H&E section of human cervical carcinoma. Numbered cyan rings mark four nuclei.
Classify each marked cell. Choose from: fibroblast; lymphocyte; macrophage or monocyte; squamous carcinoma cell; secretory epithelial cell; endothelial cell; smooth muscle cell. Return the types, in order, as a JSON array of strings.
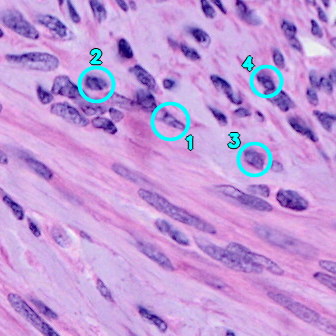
["smooth muscle cell", "lymphocyte", "smooth muscle cell", "smooth muscle cell"]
